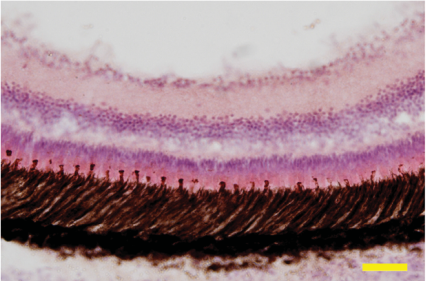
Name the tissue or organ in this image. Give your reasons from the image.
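Parallel stacked layers of tissue, curved along an arc. Two bands of densely packed purple nuclei separated by paler pink layers. A thick dark brown-black pigmented band at the bottom edge. So: retina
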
